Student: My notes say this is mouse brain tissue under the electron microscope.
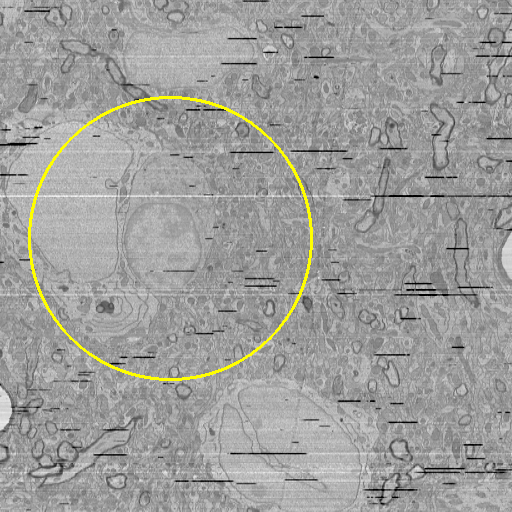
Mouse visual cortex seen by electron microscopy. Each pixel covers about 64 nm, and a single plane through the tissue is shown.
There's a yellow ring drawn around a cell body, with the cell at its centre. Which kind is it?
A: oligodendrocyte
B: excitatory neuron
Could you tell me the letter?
A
